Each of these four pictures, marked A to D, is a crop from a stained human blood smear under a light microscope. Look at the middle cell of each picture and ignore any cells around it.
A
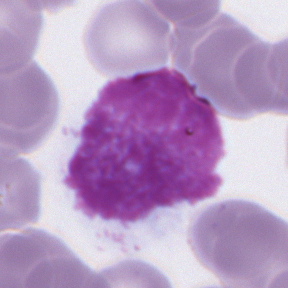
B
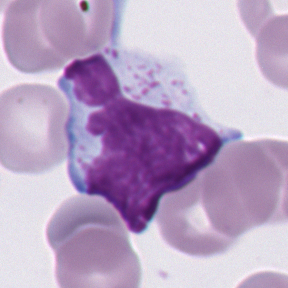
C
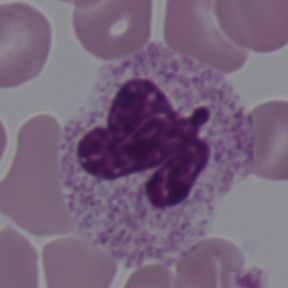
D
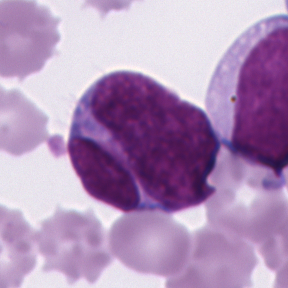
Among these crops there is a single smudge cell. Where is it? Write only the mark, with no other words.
A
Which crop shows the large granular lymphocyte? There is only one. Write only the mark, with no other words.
B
